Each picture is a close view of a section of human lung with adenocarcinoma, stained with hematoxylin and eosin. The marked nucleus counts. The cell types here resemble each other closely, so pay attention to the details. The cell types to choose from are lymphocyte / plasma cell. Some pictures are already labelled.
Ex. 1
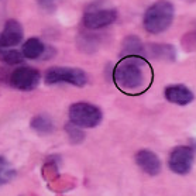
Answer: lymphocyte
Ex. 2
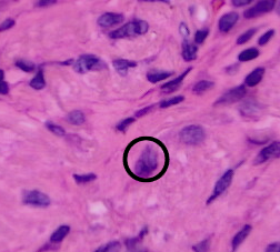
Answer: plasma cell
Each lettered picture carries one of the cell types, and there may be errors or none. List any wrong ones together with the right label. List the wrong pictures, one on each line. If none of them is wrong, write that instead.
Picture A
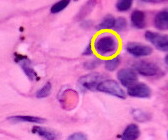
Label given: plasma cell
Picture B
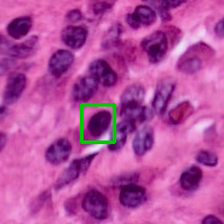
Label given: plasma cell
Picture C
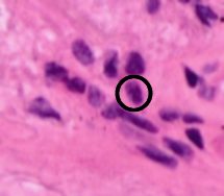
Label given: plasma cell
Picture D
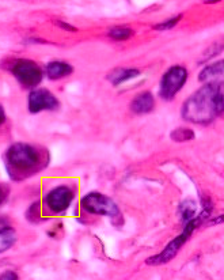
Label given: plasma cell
Wrong: A (plasma cell); correct: lymphocyte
